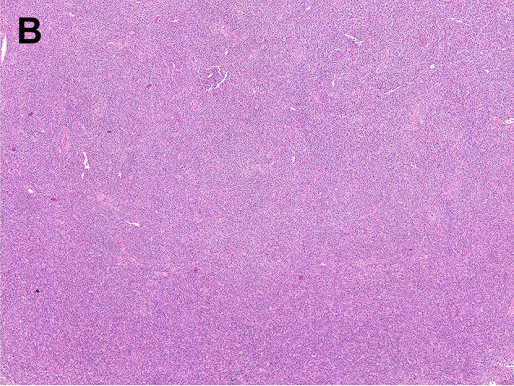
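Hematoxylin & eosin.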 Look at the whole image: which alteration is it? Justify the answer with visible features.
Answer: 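Diffuse growth pattern. A uniform sheet of cells fills the whole field. No follicles or nodular structures are visible.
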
